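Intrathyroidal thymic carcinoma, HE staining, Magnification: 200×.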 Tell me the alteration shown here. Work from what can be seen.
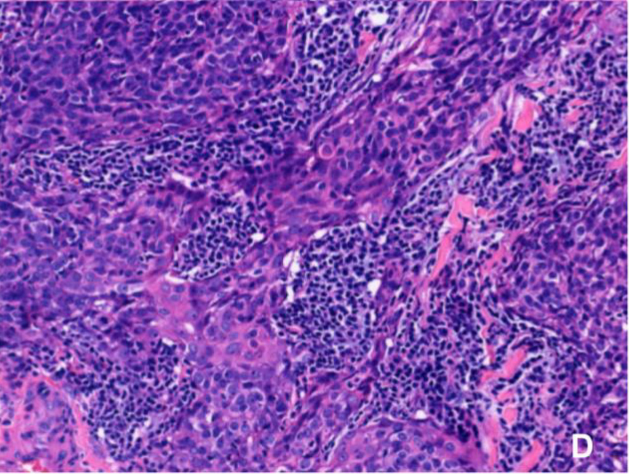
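Clusters of small, dark, round nuclei lie between nests of larger pale-nucleated cells. The small dark cells have scant cytoplasm. The answer: Lymphocytic infiltration.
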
